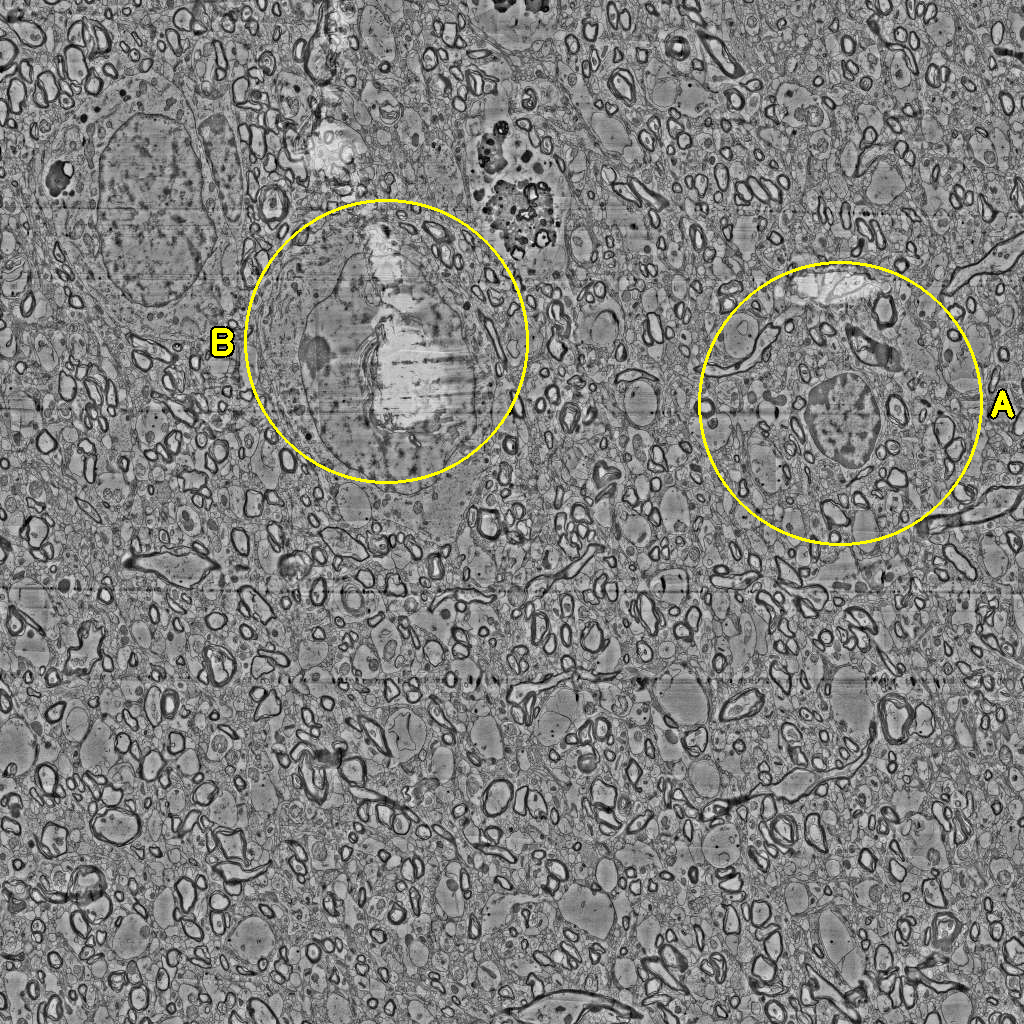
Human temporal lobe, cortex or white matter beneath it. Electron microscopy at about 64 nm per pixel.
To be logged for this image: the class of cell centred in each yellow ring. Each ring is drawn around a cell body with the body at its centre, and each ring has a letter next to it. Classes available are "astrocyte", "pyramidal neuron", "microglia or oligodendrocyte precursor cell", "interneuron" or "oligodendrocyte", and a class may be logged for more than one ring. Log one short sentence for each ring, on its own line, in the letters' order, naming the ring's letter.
The class recorded for ring A is a microglial cell or oligodendrocyte precursor cell.
The class recorded for ring B is a pyramidal neuron.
